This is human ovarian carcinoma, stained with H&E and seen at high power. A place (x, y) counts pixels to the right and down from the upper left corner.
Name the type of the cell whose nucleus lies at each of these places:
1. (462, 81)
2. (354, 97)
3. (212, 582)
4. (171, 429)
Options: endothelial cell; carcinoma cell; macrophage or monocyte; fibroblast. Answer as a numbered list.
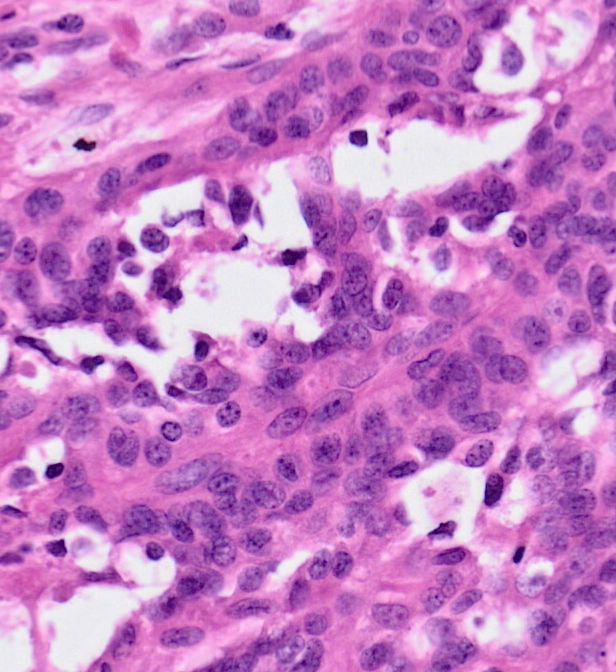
1. carcinoma cell
2. carcinoma cell
3. carcinoma cell
4. macrophage or monocyte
